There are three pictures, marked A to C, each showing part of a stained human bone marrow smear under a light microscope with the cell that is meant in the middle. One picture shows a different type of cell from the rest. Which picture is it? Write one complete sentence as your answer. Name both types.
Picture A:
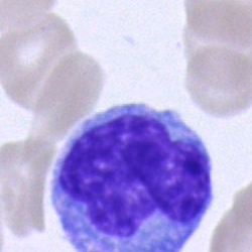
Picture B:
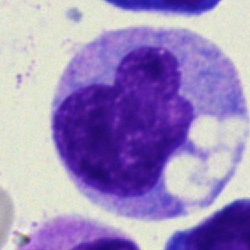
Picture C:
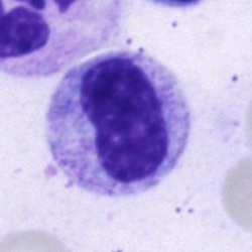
All pictures except C show monocytes; picture C shows a metamyelocyte.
